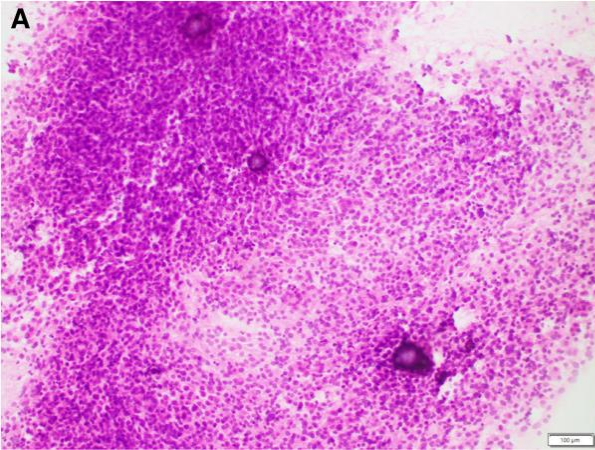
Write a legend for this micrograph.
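A densely cellular smear of uniform tumor cells with small round purple nuclei, spread in a sheet that thins toward the edges. A few round, dark purple psammoma bodies lie scattered within the cell sheet.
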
